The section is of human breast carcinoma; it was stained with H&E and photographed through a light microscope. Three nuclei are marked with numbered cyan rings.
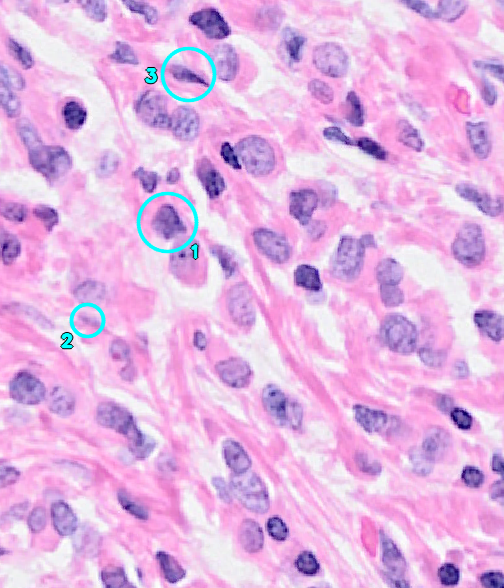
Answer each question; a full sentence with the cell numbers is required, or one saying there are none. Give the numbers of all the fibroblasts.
The cells assigned the numbers 2 and 3 are fibroblasts.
